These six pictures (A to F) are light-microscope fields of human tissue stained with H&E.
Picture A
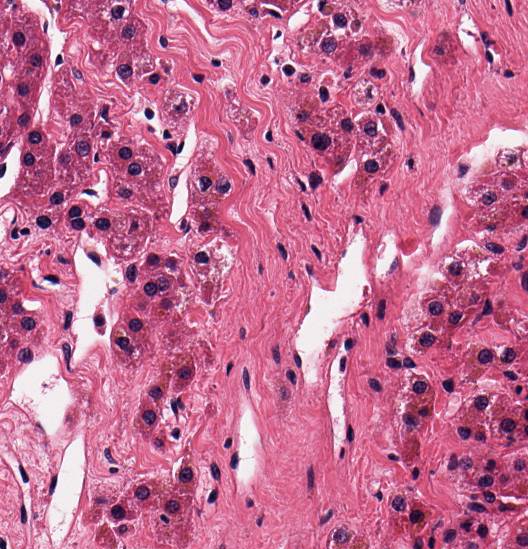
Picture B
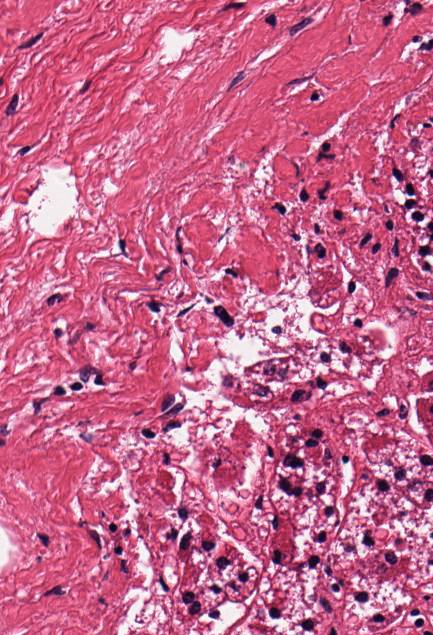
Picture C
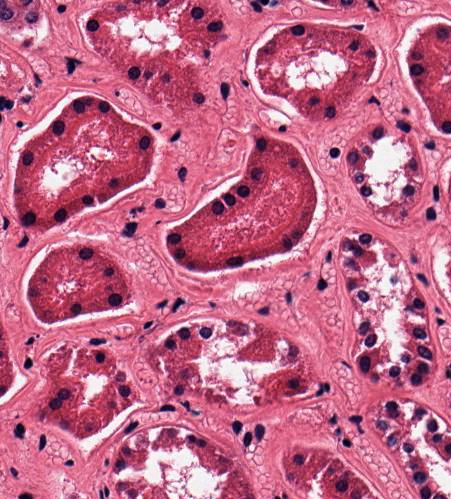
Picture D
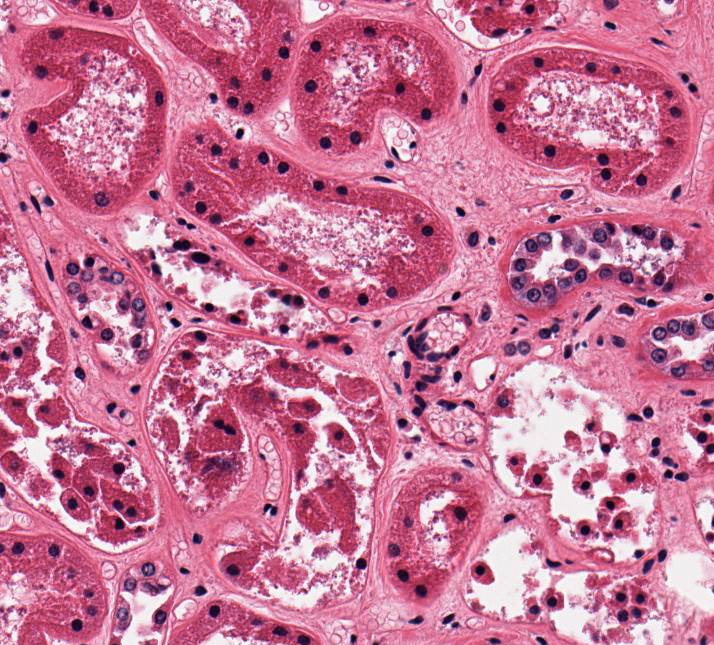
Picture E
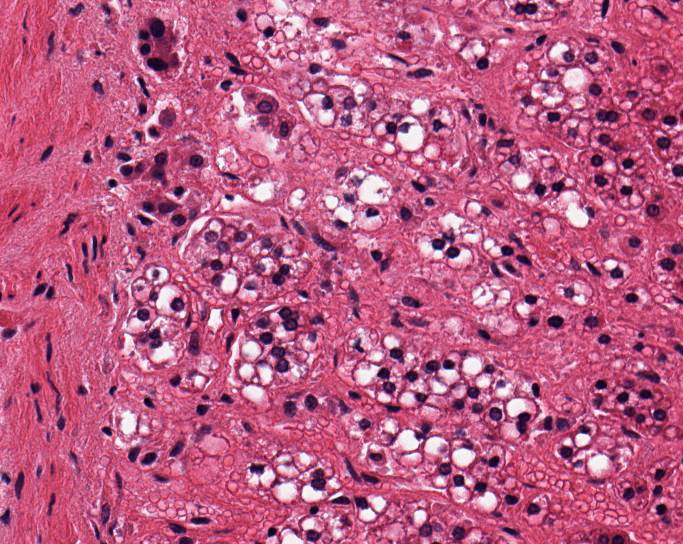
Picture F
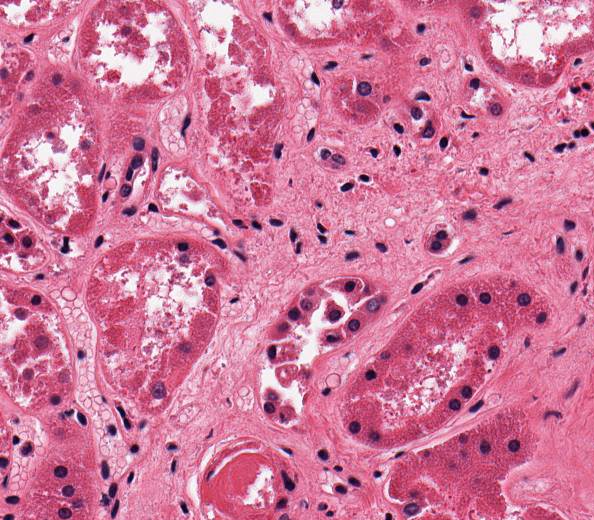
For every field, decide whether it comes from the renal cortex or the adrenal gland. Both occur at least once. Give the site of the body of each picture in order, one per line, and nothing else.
adrenal gland
adrenal gland
renal cortex
renal cortex
adrenal gland
renal cortex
